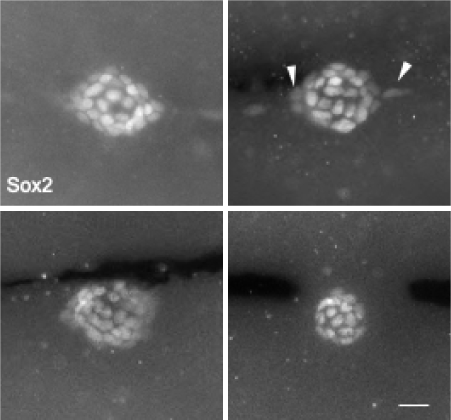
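Each image shows a neuromast as a compact oval cluster of bright, rounded nuclei packed side by side. In one upper image small single labelled peripheral cells lie just outside the cluster on either side.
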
